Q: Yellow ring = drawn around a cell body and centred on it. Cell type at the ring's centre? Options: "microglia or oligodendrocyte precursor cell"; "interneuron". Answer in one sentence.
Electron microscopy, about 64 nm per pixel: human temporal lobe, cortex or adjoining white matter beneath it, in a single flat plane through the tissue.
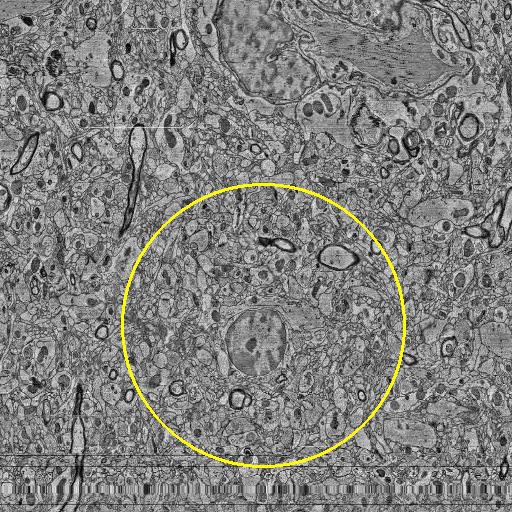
Centred in the ring is a microglial cell or oligodendrocyte precursor cell.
